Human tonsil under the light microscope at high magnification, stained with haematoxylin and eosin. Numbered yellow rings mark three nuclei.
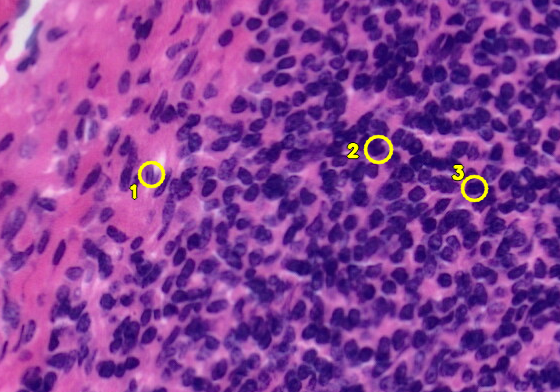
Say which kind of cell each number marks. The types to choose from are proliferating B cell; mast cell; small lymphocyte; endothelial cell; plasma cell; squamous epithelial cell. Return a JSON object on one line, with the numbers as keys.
{"1": "endothelial cell", "2": "small lymphocyte", "3": "small lymphocyte"}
